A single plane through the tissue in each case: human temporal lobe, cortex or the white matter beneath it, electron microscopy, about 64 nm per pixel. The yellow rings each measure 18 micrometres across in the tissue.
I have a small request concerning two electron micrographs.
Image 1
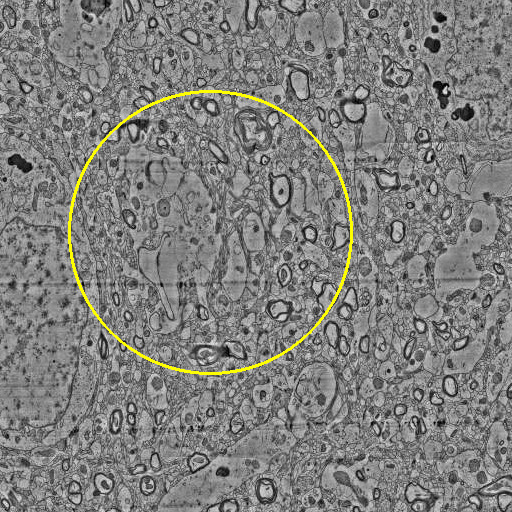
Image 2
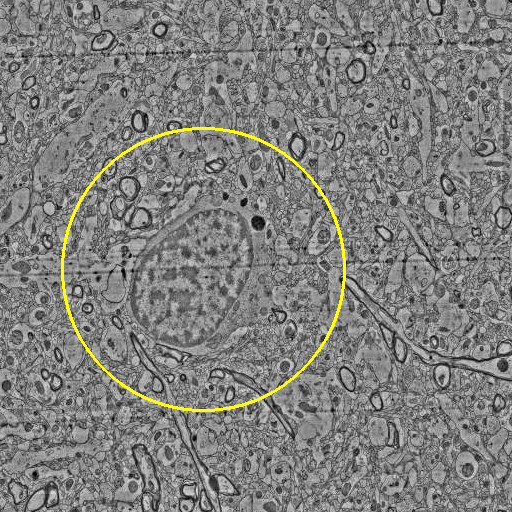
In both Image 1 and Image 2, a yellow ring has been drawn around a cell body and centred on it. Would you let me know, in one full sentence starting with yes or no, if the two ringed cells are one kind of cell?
No, the cells ringed in Image 1 and Image 2 are two kinds of cell.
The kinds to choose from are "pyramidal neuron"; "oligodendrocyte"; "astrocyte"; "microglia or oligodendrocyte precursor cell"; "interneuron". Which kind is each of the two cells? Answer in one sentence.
Of the two, the first cell is an astrocyte and the second cell is an oligodendrocyte.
